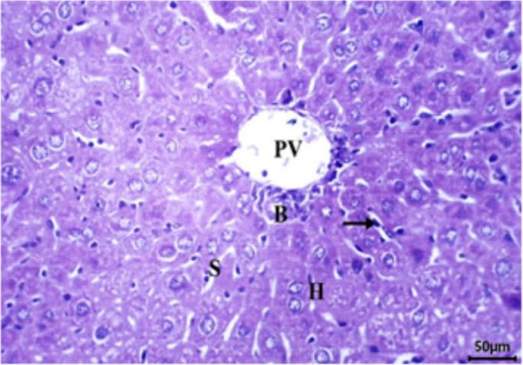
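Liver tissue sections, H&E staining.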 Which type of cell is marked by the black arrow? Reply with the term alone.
Kupffer cells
